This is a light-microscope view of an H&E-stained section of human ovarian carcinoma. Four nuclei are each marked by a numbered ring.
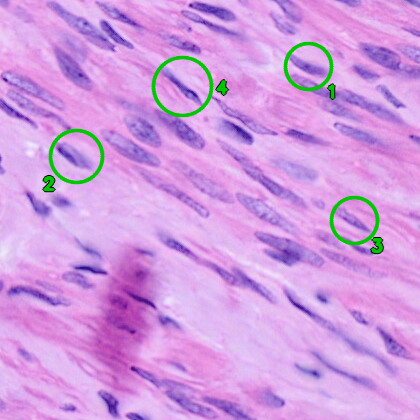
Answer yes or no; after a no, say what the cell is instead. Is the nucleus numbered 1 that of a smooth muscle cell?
Yes.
